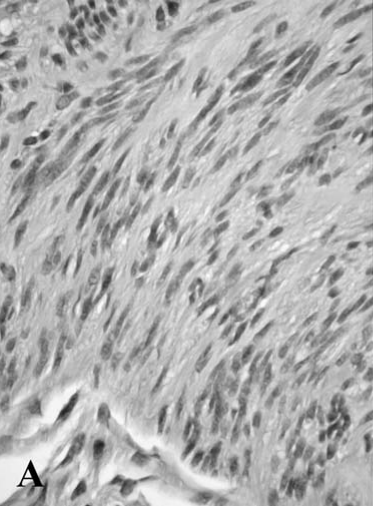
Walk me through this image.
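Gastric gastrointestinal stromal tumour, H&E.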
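The cells have elongated, oval to cigar-shaped nuclei of similar size, lying parallel to one another in streaming bundles. The cytoplasm is pale and fibrillary, and the cell borders are indistinct. A narrow cleft-like space crosses the lower part of the field.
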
